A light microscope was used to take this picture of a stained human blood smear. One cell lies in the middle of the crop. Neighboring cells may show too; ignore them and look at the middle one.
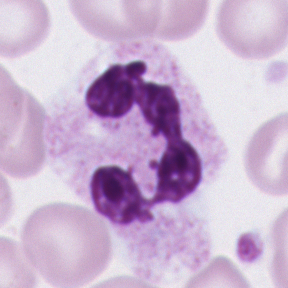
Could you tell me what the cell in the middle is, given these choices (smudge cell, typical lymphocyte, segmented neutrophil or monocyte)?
segmented neutrophil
